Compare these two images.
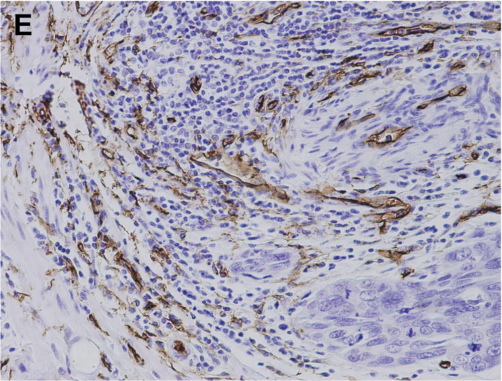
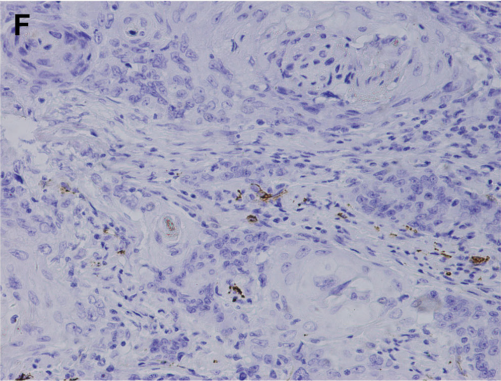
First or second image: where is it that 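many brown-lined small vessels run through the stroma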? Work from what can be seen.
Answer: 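The first image. Second image: only a few tiny brown specks in the stroma. First image: numerous elongated brown-lined channels across the stroma.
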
